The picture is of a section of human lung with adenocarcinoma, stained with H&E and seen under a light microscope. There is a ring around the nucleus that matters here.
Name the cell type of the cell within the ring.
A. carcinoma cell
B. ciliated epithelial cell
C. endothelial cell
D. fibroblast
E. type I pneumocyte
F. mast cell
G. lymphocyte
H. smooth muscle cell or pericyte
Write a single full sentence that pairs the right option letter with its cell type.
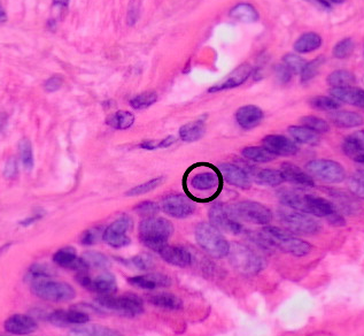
Exactly as option B gives it, the cell within the ring is a ciliated epithelial cell.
